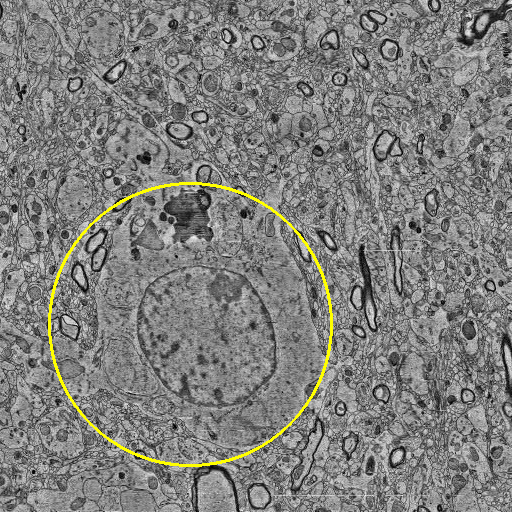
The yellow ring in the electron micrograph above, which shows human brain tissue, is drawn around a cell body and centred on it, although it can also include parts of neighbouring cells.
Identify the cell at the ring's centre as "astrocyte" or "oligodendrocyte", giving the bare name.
astrocyte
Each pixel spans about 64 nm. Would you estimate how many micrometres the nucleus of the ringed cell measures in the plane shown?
The ringed cell's nucleus is about 10 micrometres long and 8 micrometres wide in this plane.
